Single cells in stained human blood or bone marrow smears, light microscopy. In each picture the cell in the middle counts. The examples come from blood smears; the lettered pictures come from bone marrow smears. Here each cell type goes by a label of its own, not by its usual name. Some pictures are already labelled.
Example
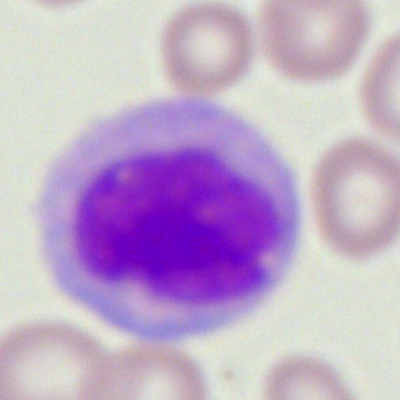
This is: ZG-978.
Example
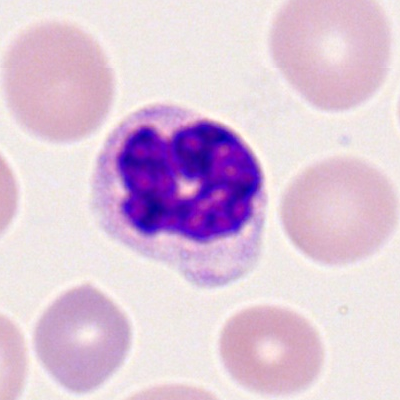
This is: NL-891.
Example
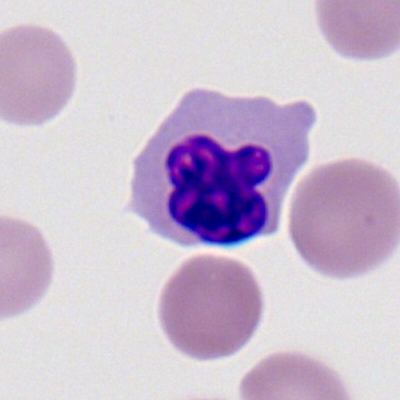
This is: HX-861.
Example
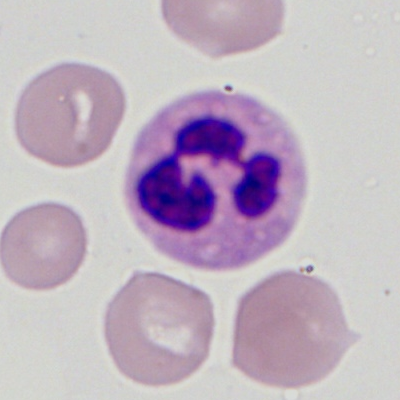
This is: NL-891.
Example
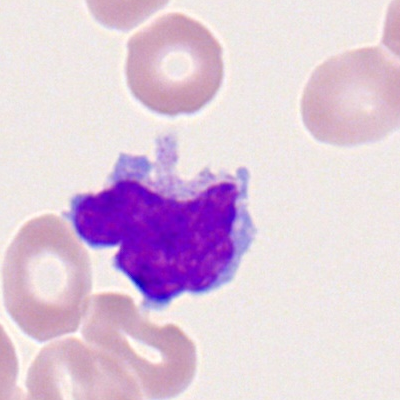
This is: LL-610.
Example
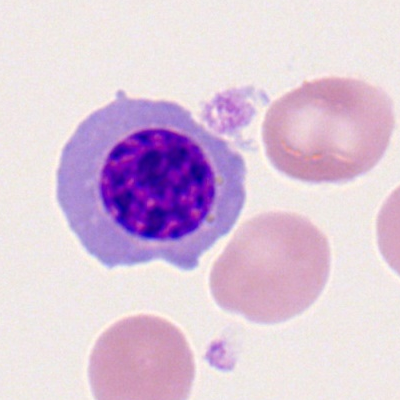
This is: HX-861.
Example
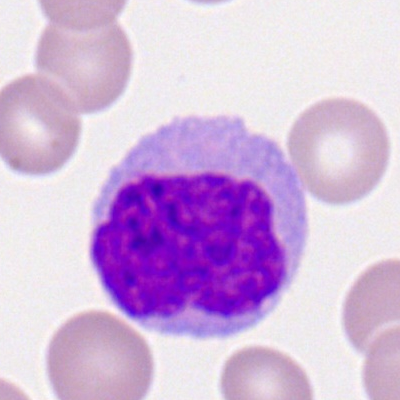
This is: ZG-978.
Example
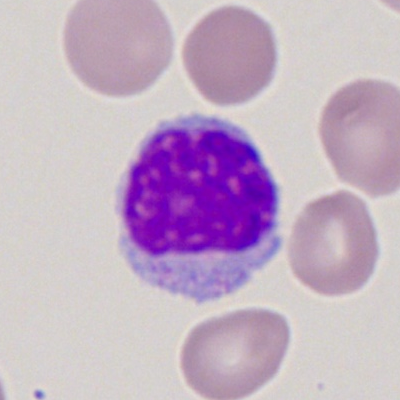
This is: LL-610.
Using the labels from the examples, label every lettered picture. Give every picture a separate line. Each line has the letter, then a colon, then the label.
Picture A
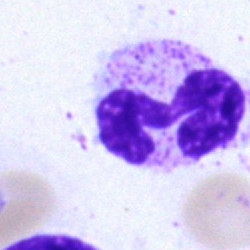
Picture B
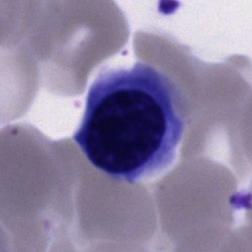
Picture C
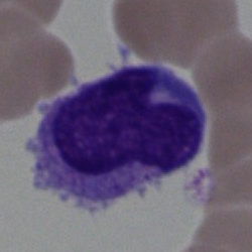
A: NL-891.
B: HX-861.
C: ZG-978.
